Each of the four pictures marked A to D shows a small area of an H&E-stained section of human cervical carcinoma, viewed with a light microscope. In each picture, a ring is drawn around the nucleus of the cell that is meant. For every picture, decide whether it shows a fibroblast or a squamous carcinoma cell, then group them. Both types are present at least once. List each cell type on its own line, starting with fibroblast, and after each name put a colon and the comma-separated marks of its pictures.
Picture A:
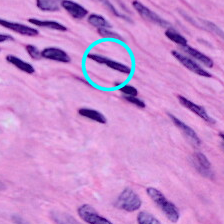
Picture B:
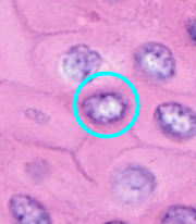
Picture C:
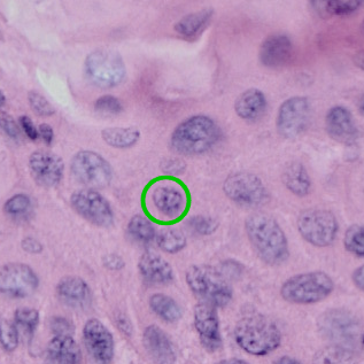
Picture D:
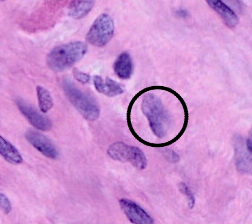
fibroblast: A, D
squamous carcinoma cell: B, C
